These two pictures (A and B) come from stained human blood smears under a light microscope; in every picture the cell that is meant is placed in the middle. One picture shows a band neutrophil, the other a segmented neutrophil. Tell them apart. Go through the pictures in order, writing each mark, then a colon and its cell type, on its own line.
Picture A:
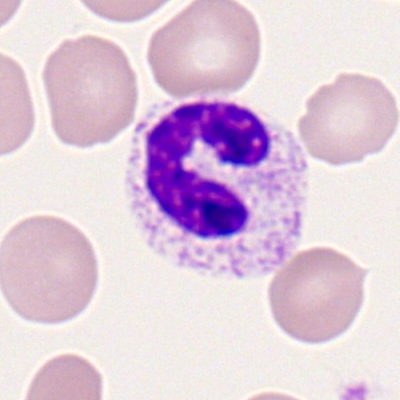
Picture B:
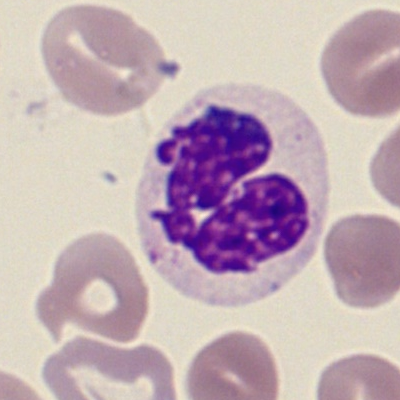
A: band neutrophil
B: segmented neutrophil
